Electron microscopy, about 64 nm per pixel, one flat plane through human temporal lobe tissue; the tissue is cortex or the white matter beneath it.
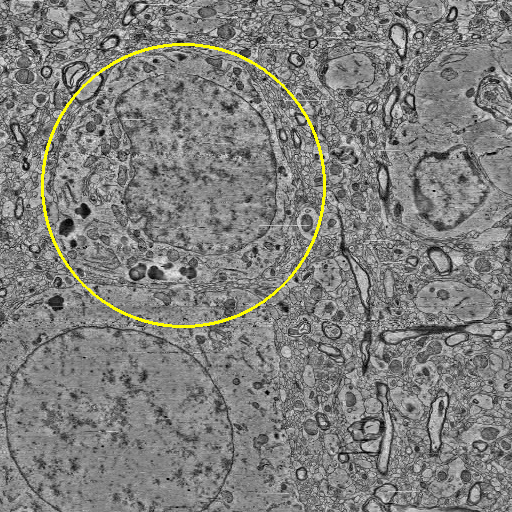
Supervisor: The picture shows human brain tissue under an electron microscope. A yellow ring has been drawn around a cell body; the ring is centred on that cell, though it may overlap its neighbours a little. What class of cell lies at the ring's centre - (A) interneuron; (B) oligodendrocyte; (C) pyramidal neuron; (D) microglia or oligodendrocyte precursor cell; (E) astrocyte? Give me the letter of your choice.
A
